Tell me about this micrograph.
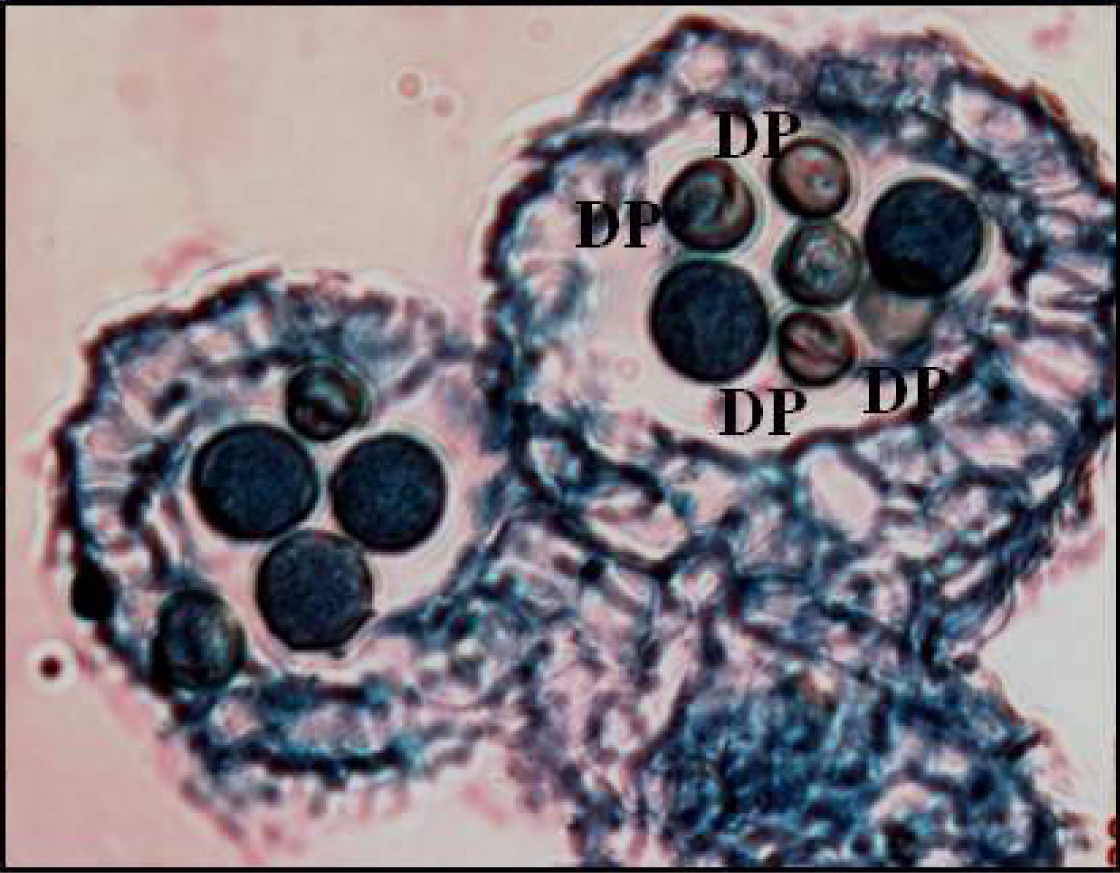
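Two anther locules in cross section contain a mixture of large, round, uniformly dark pollen grains and smaller grains with a distinct wall and irregular, crumpled, partly reddish contents. The locules are bounded by a wall of radially arranged cells, with remnants of an inner layer along the locule margin.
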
